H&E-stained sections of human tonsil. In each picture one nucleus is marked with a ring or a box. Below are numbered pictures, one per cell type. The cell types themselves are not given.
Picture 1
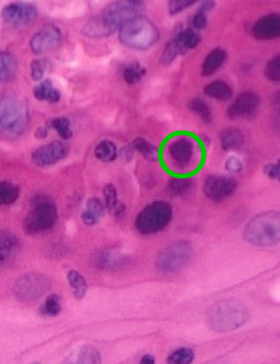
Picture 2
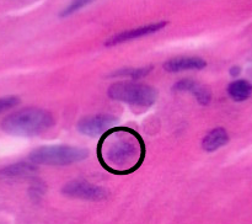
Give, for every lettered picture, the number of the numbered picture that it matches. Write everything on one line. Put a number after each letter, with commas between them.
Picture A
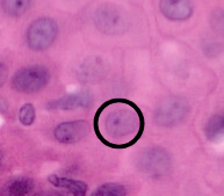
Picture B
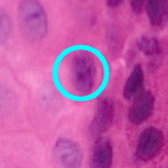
A 1, B 1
